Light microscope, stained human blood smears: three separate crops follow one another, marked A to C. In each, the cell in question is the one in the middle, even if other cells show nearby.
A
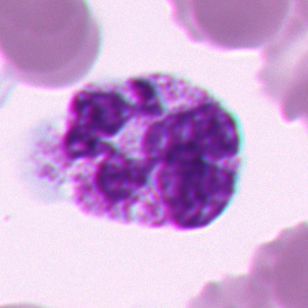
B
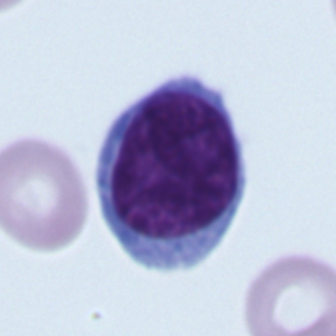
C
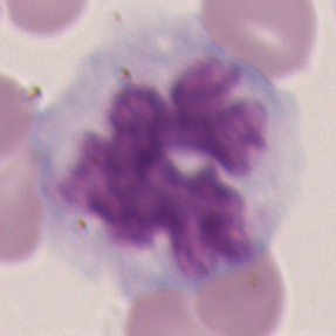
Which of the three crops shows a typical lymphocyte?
B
